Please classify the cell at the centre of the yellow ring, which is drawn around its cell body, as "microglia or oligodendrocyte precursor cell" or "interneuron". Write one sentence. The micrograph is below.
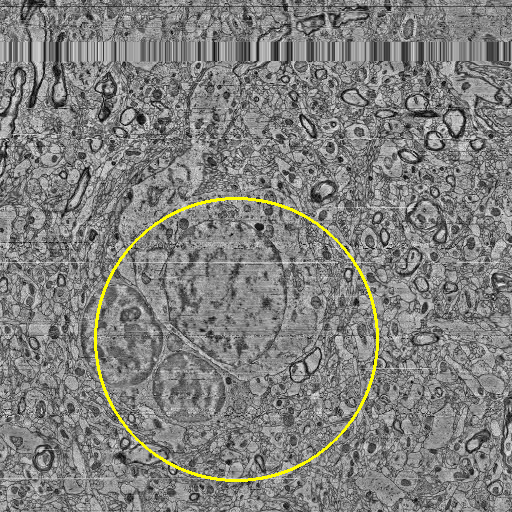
The cell at the ring's centre is classified as an interneuron.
